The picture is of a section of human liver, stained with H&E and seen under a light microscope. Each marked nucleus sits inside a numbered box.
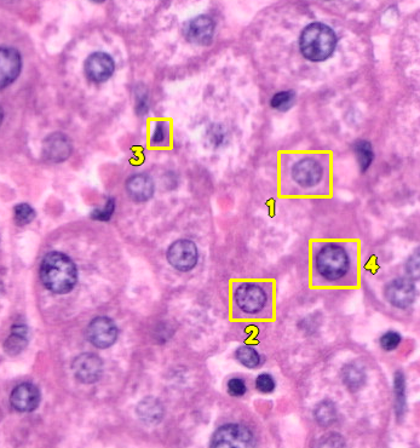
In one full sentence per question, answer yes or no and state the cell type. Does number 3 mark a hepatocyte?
No, the identification of cell 3 as a hepatocyte is incorrect; it is a fibroblast or stellate cell.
